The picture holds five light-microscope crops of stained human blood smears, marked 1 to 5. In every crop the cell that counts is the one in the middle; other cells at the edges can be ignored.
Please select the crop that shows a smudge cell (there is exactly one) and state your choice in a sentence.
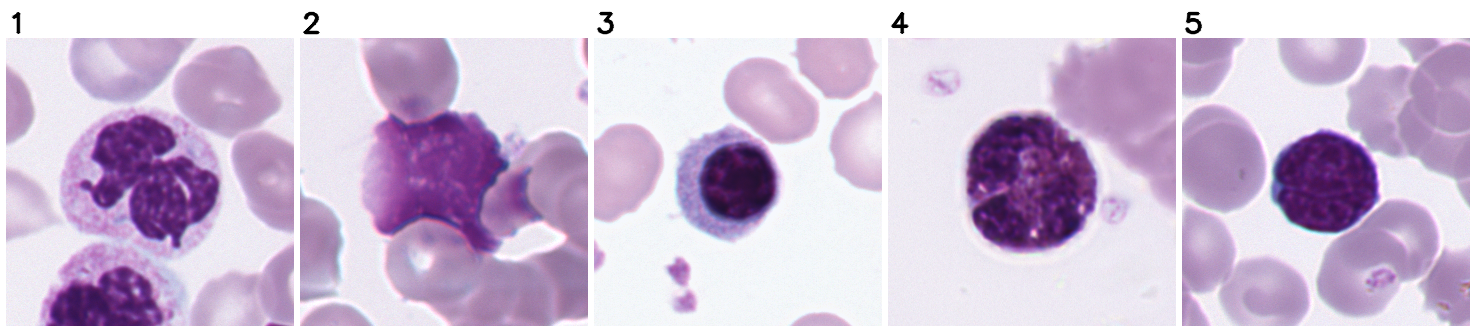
Crop 2, and no other, is the one that shows a smudge cell.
